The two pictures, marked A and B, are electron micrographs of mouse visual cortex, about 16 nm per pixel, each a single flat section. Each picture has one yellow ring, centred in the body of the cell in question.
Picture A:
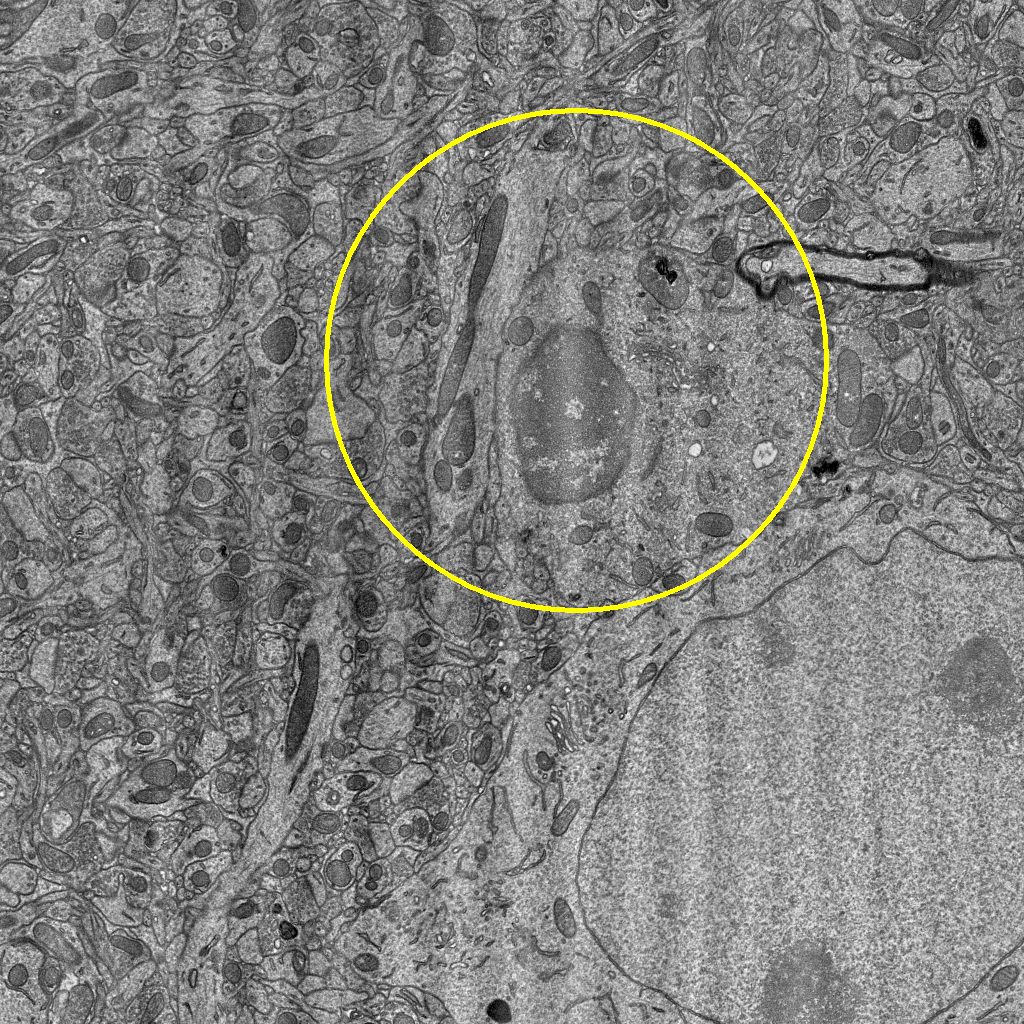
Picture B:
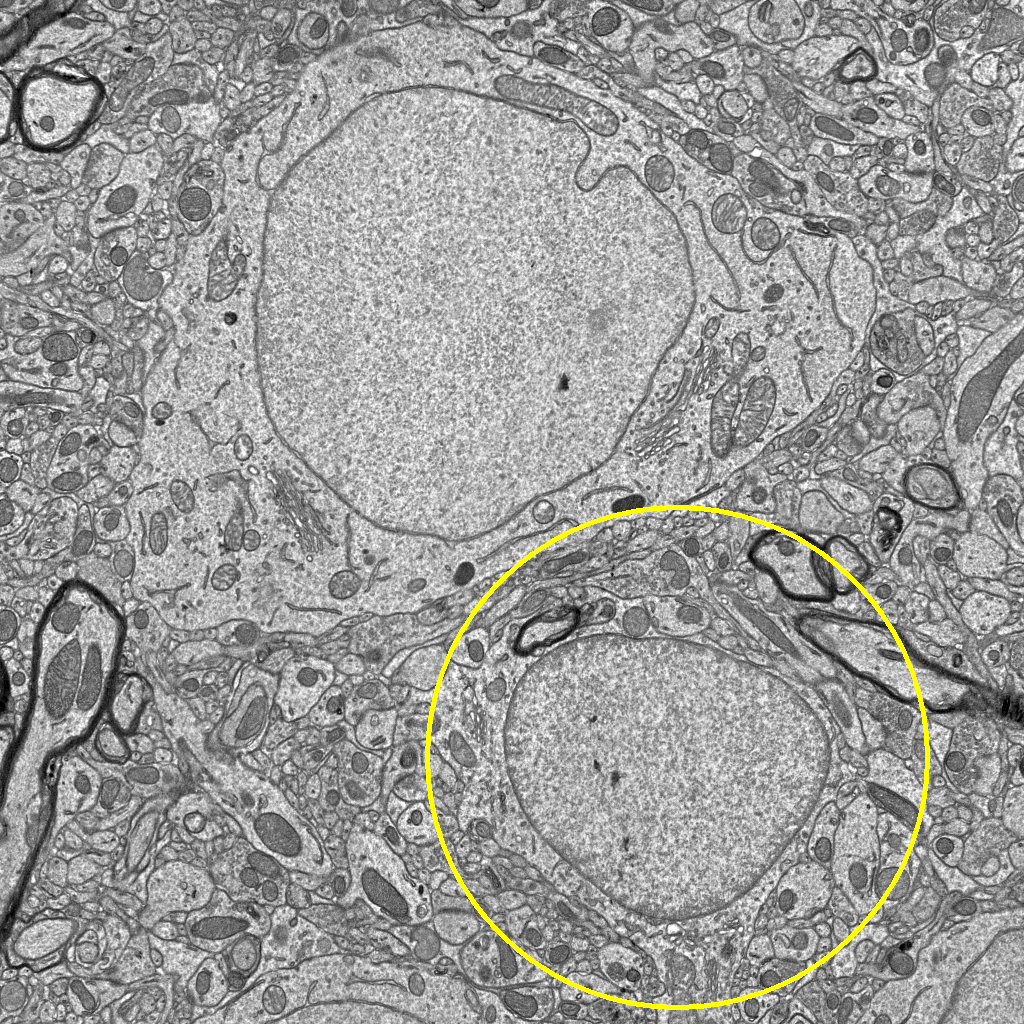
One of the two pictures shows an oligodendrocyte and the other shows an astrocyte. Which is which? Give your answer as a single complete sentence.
It is picture A that shows an oligodendrocyte, and picture B that shows an astrocyte.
